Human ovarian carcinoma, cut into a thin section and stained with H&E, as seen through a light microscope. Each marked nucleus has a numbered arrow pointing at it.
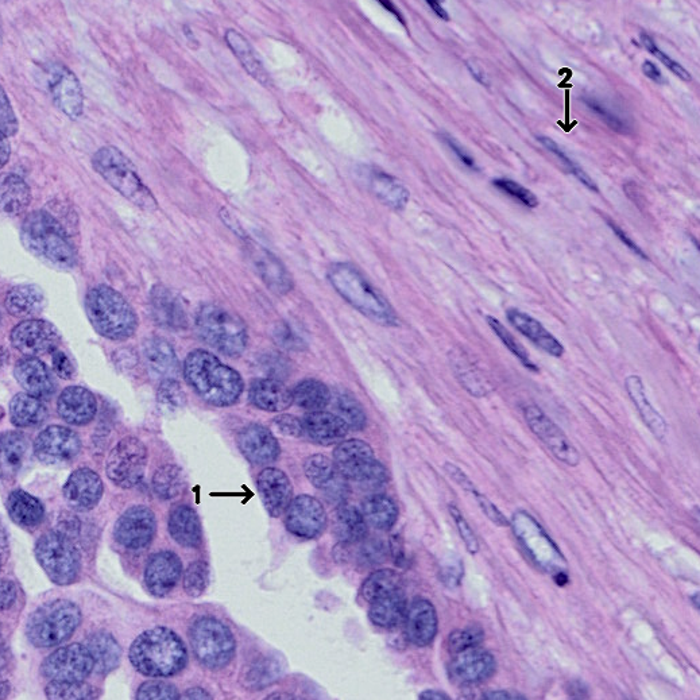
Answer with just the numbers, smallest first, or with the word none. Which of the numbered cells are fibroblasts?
2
